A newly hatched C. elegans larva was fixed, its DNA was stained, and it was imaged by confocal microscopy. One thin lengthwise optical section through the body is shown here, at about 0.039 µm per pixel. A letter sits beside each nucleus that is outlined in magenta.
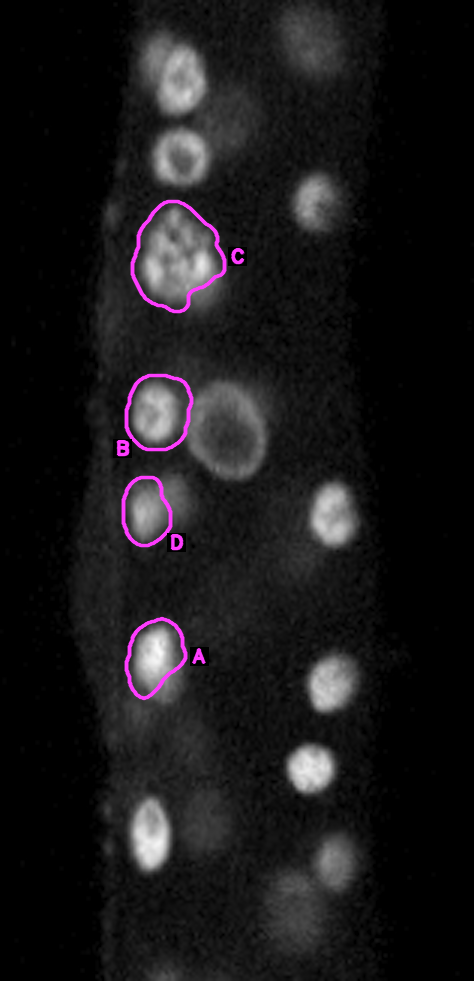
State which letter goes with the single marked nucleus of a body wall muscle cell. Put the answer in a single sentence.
B is the one that belongs to a body wall muscle cell.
